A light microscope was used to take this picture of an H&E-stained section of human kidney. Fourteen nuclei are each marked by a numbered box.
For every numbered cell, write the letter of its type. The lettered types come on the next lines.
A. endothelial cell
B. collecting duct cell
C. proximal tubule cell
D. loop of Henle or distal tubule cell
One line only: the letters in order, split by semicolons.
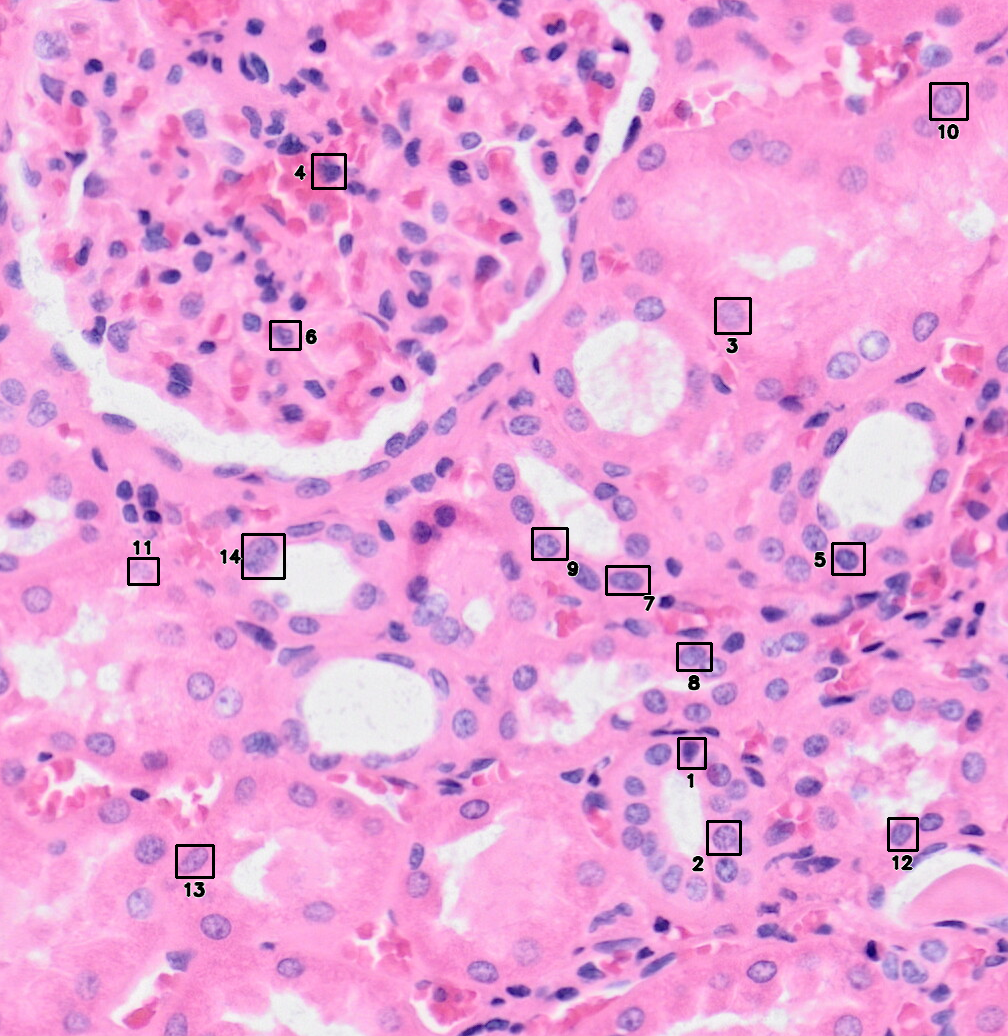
B; B; C; A; D; A; B; D; B; C; C; D; C; B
